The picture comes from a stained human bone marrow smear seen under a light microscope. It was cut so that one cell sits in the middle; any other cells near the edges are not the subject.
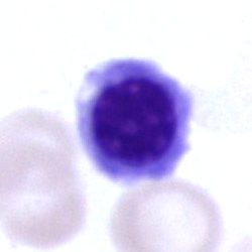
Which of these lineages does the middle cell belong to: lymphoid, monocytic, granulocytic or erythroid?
erythroid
